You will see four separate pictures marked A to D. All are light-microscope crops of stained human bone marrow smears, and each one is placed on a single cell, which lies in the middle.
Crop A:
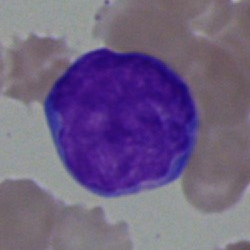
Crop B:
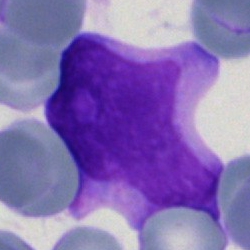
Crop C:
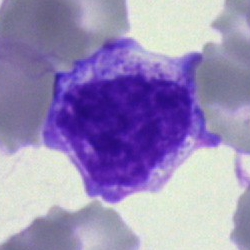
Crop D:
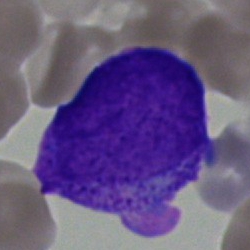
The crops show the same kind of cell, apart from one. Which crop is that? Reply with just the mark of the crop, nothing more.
C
